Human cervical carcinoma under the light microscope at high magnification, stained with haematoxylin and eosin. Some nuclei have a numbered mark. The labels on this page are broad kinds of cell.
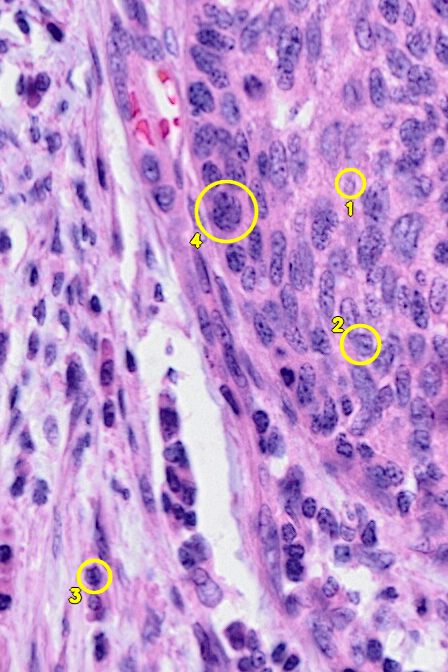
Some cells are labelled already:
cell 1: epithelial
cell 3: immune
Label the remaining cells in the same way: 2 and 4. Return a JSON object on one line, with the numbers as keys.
{"2": "epithelial", "4": "epithelial"}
